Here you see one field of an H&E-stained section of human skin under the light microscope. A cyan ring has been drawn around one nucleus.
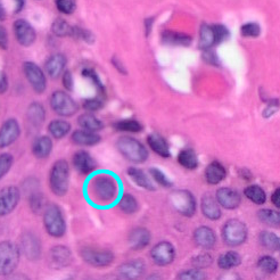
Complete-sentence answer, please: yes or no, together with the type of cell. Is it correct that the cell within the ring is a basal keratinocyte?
Yes, to put it simply, the cell within the ring is a basal keratinocyte.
